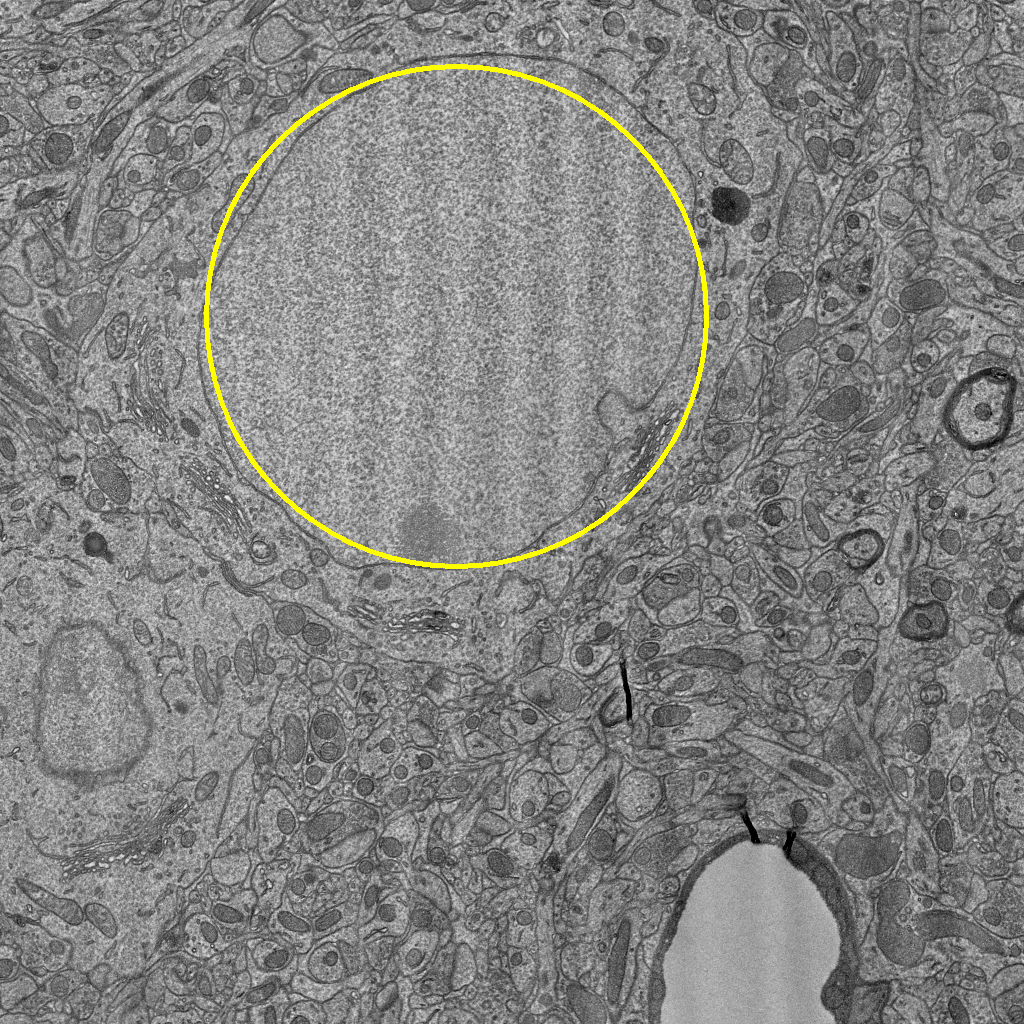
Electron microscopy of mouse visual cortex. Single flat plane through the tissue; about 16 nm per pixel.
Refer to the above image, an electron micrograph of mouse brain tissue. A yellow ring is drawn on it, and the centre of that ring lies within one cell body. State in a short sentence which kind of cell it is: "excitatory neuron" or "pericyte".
The centre of the ring falls on an excitatory neuron.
